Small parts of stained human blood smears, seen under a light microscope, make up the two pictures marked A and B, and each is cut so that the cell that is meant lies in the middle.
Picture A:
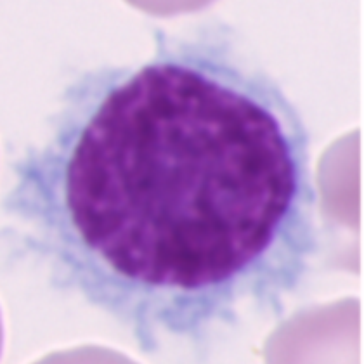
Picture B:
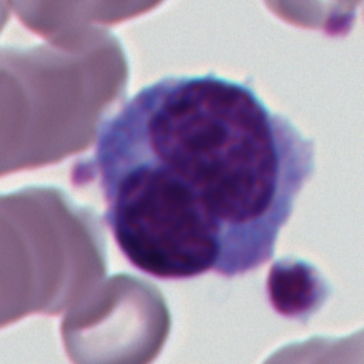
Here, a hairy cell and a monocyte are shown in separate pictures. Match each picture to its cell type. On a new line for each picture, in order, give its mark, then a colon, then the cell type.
A: hairy cell
B: monocyte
